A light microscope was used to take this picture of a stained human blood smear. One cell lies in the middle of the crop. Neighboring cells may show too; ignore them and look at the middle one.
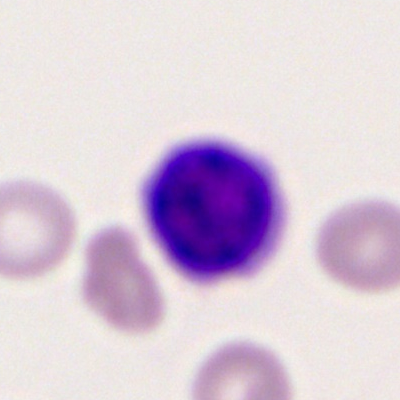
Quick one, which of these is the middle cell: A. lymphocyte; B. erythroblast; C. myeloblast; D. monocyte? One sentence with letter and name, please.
The cell in the middle is correctly identified as a lymphocyte in option A.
